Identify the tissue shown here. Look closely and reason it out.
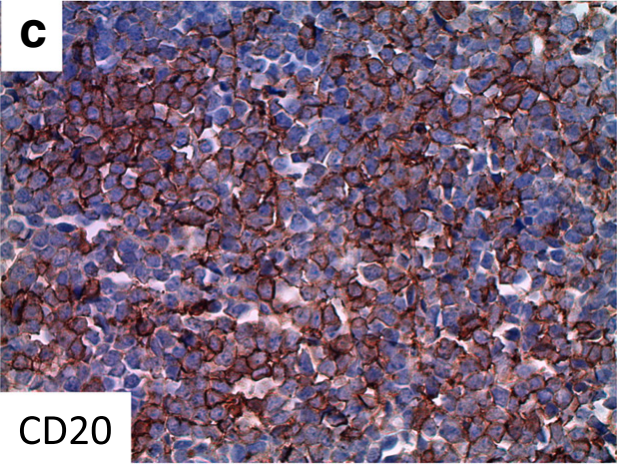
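A monotonous sheet of densely packed round cells with blue nuclei. Most cells show brown staining at their outer rim. No normal tissue structures are seen between the cells. So: lymphoma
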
